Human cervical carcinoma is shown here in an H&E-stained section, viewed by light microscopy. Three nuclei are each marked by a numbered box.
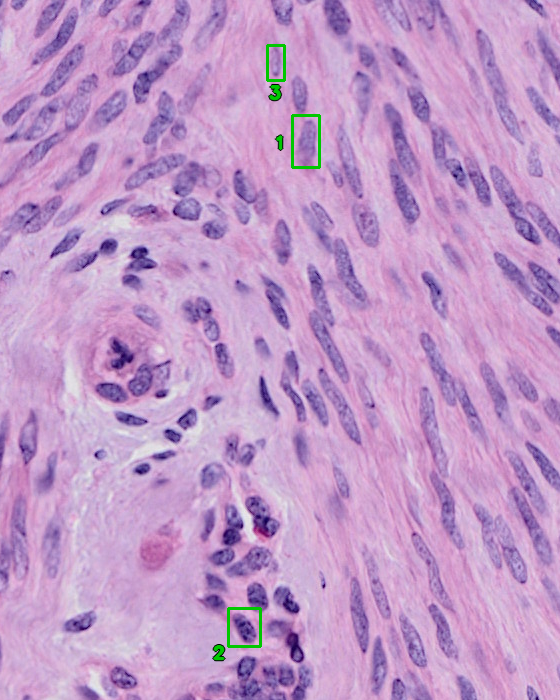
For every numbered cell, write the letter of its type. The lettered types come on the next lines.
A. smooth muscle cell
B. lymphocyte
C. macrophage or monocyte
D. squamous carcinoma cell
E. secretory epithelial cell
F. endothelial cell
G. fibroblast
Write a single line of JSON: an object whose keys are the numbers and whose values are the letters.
{"1": "A", "2": "F", "3": "A"}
